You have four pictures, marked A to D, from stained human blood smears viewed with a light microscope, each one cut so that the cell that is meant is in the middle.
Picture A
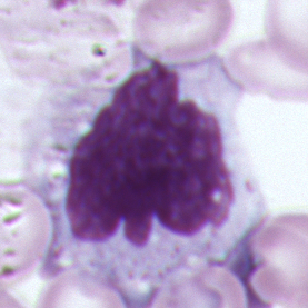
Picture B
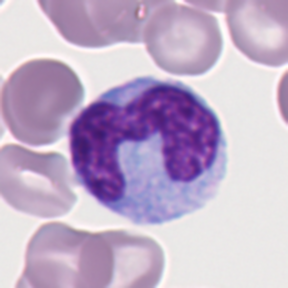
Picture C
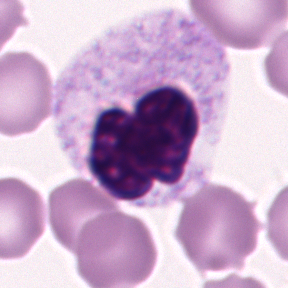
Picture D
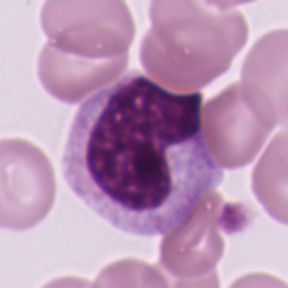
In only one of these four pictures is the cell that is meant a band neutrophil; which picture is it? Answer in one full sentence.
The band neutrophil is the one in picture D.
